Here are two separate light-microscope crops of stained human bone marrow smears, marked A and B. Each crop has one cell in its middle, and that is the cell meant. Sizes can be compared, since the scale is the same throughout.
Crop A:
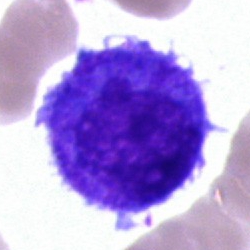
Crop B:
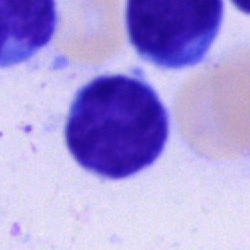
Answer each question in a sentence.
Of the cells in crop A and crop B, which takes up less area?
The cell in crop B is smaller; the one in crop A has about 2.5 times its area.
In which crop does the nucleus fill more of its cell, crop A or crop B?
Of the two, the nucleus in crop B makes up the greater part of its cell.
